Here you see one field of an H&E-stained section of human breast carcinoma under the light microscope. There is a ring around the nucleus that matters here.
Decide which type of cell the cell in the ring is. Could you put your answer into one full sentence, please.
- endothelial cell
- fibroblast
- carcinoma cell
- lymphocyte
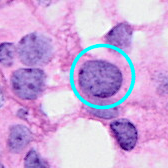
For cell typing purposes, the cell in the ring is a carcinoma cell.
